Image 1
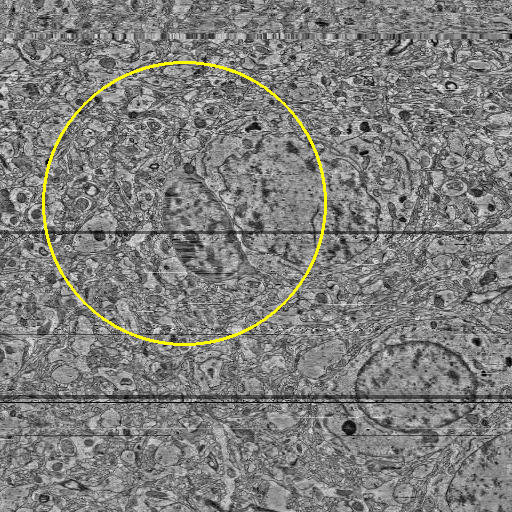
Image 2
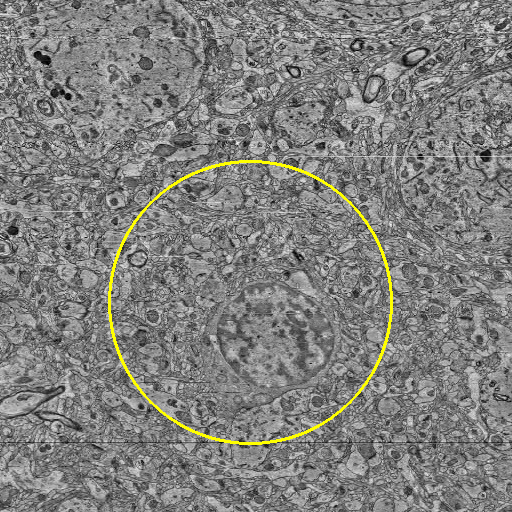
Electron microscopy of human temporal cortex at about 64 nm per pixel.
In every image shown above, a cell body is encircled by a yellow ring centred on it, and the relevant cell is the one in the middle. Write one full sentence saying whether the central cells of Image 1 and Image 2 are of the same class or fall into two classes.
The cell at the ring's centre in Image 1 and its counterpart in Image 2 are of the same class.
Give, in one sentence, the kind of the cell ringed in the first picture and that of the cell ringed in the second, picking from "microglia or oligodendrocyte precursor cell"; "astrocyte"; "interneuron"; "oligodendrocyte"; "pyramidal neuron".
In each picture the ringed cell is an oligodendrocyte.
